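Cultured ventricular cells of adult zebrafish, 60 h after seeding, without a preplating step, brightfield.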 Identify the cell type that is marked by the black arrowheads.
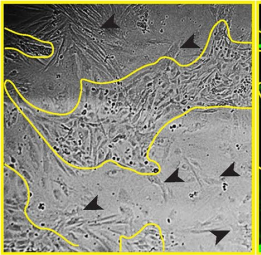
Non-endothelial cells.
